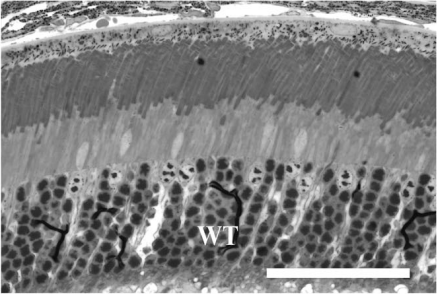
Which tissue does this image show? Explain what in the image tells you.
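A thin layer with dark granules lies at the top. Long, slender, parallel segments run perpendicular to the layers. Below them a thick band of closely packed, round, dark nuclei. On this evidence: retina.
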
